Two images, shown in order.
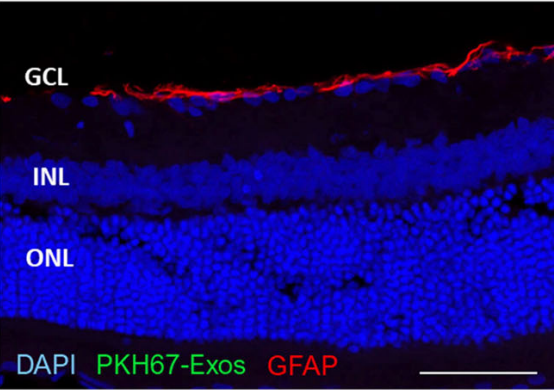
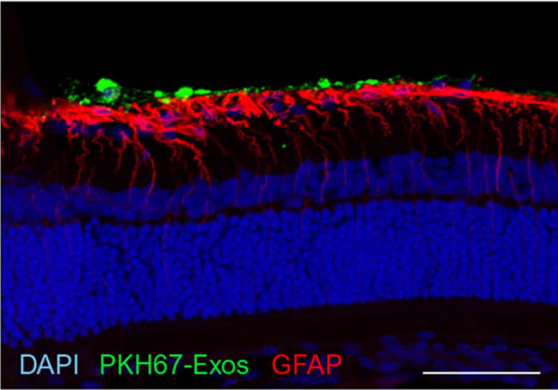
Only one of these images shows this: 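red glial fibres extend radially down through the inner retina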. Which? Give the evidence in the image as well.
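Second image: many red fibres descend from the inner surface across the inner retina into the inner nuclear layer. First image: red staining is a thin band along the inner surface only. On this evidence: the second image.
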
